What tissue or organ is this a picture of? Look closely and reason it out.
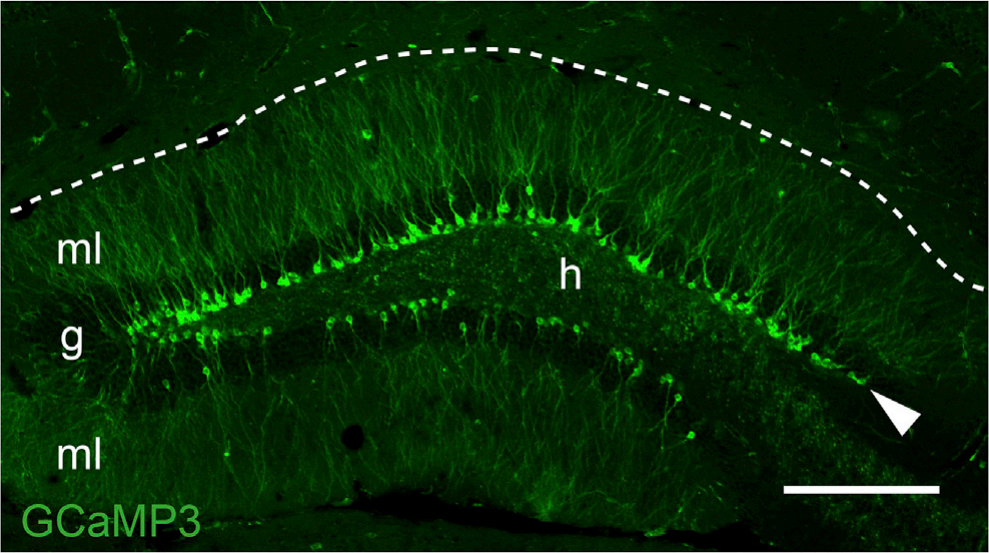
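Dentate gyrus. A V- or arch-shaped pair of cell layers encloses a central region. Dendrites from the cells of both blades extend outward through a broad outer layer.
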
